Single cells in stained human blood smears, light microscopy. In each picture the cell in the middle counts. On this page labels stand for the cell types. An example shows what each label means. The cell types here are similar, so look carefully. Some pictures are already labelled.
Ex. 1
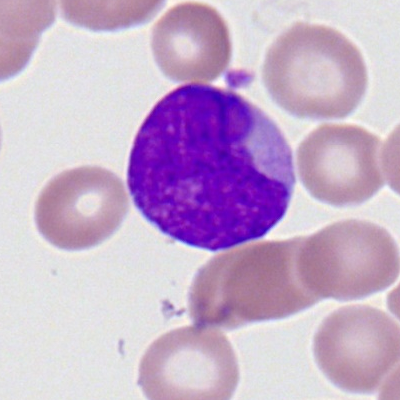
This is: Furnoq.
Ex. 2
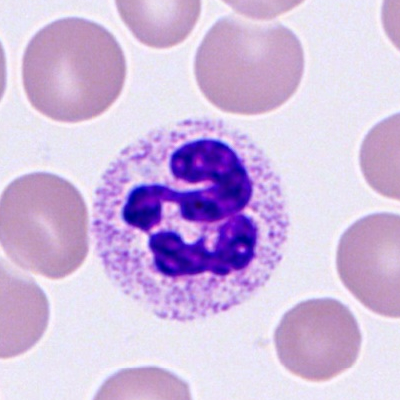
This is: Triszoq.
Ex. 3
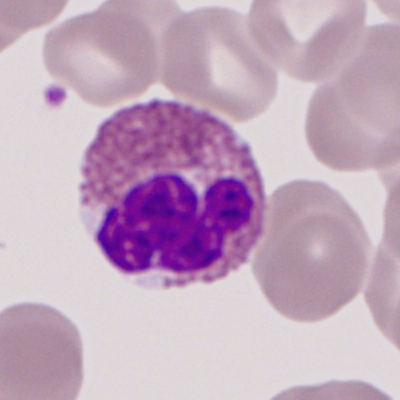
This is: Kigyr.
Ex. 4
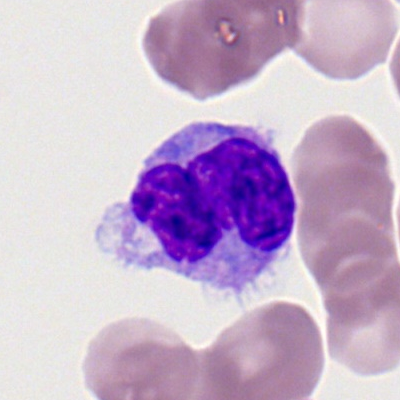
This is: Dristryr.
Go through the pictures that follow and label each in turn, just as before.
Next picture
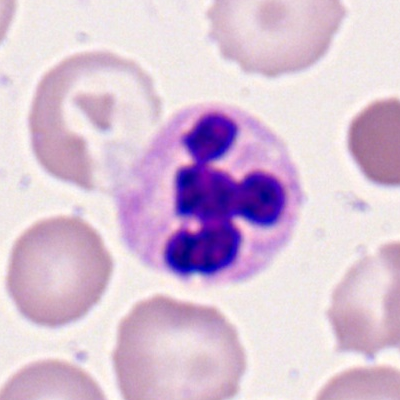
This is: Triszoq.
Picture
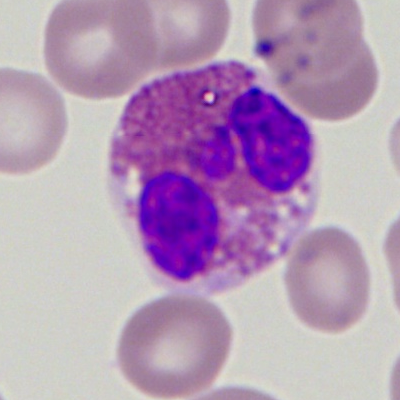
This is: Kigyr.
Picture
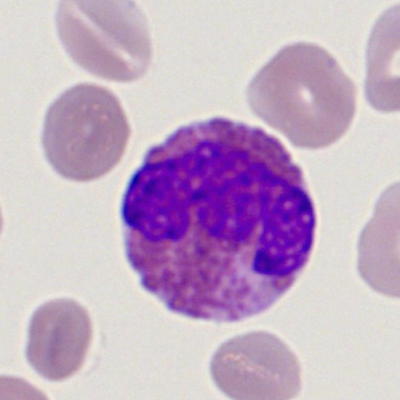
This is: Kigyr.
